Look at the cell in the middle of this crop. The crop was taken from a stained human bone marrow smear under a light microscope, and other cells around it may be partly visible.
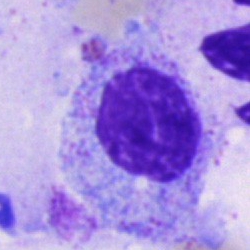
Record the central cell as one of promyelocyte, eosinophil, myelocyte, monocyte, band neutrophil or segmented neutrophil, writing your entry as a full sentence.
The cell at the central position in this crop is a myelocyte.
